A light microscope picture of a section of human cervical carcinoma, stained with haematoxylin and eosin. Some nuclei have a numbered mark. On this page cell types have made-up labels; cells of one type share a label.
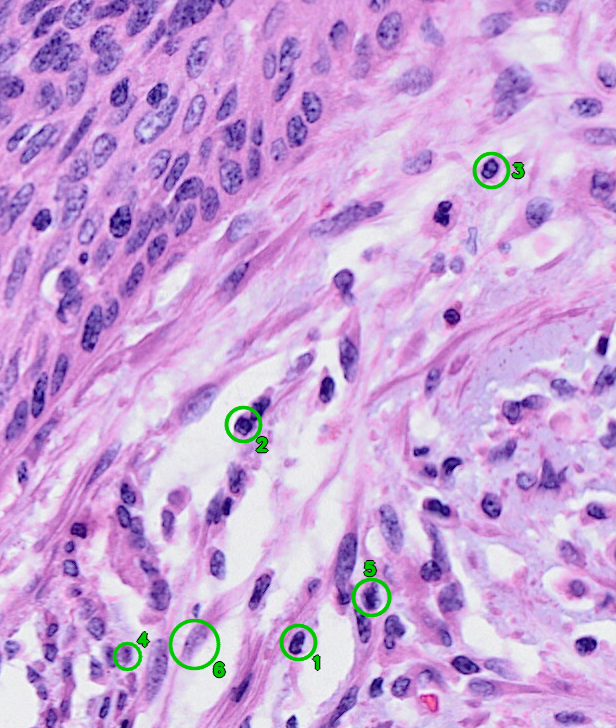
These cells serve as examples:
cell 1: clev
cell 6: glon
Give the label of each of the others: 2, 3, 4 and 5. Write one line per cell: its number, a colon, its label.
2: clev
3: clev
4: glon
5: clev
